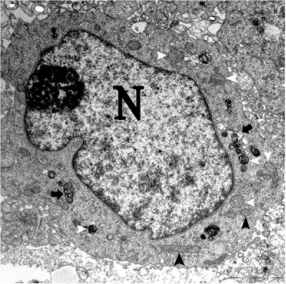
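Inside the nucleus, finely granular chromatin surrounds a large, dense, mottled nucleolus. The nuclear envelope is clearly outlined and folds inward on one side. The surrounding cytoplasm is narrow and crowded with small organelles, among them oval mitochondria, some pointed out by white arrowheads. Several rounded vesicles with dark, dense or layered contents are pointed out by black arrows in the cytoplasm beside the nucleus. Black arrowheads mark further small structures near the cell edge.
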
